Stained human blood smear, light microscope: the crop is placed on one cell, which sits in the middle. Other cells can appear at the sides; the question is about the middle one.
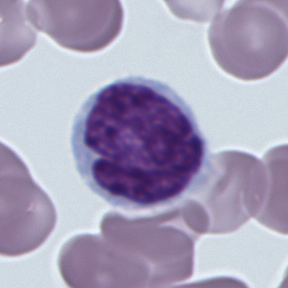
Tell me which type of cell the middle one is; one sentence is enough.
The central cell shown in this smear crop is a monocyte.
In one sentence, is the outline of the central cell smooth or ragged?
Around its whole circumference the outline stays smooth, free of projections.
